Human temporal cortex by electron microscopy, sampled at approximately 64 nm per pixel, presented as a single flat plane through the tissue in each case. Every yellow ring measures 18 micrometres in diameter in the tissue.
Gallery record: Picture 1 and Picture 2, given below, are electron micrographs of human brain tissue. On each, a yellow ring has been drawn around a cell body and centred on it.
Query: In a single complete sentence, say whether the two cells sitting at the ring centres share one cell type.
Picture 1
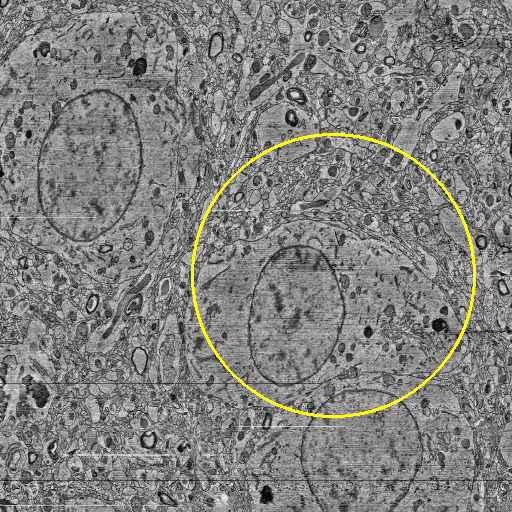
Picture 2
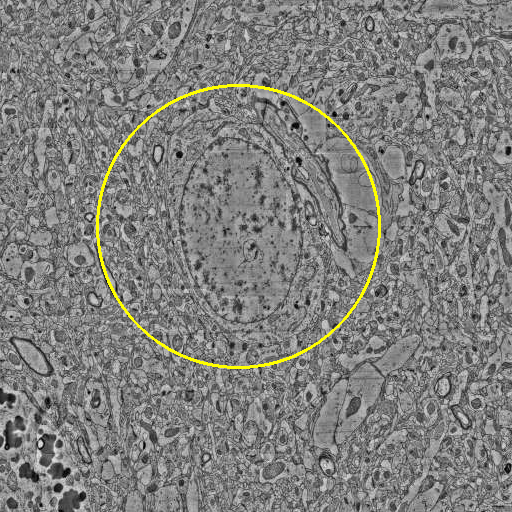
Yes, in both pictures the cell at the ring's centre is of one and the same type.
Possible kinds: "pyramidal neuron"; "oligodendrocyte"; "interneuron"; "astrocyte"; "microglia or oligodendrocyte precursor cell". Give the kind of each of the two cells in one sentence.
The first and the second cell are each a pyramidal neuron.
